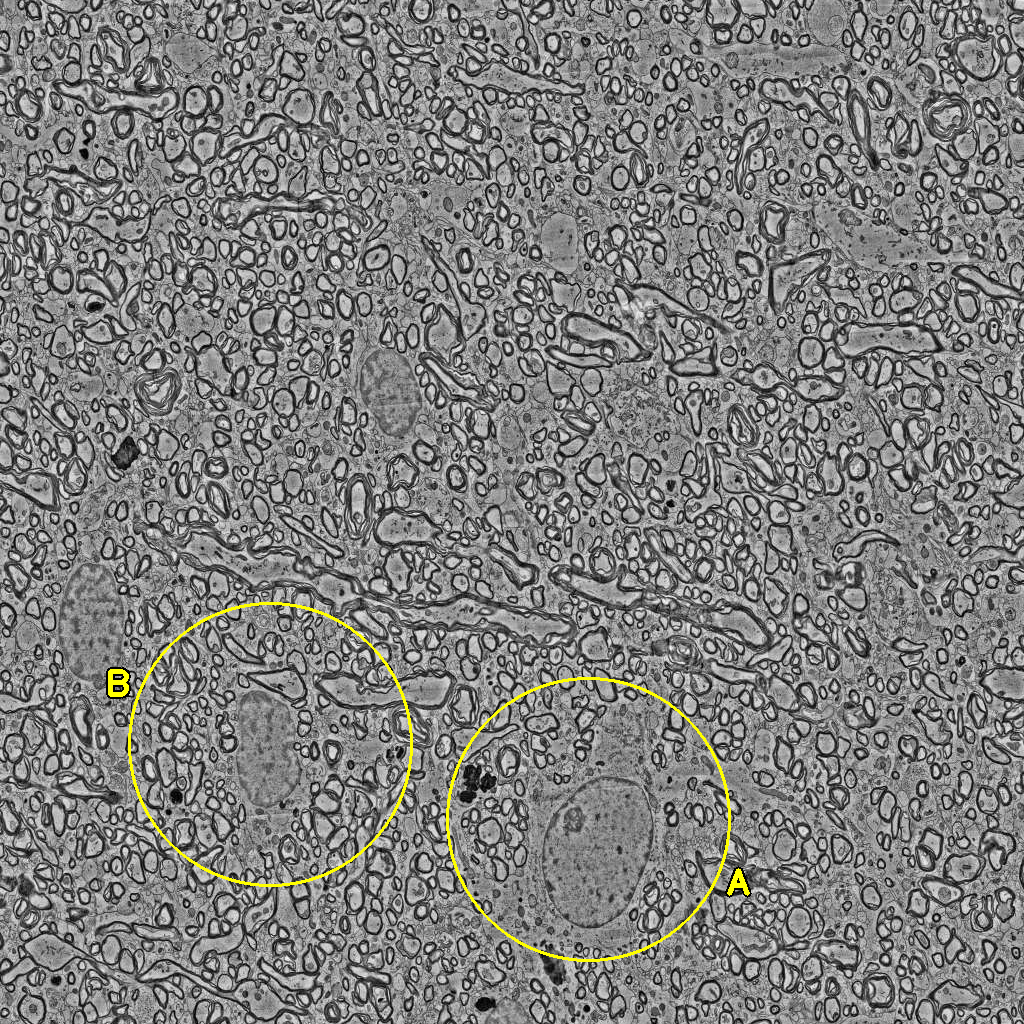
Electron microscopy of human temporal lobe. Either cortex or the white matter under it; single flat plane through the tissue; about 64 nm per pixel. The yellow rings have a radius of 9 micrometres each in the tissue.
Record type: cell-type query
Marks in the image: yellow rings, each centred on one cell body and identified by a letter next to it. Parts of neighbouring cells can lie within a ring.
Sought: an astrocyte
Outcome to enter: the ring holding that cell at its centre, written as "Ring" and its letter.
Ring A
